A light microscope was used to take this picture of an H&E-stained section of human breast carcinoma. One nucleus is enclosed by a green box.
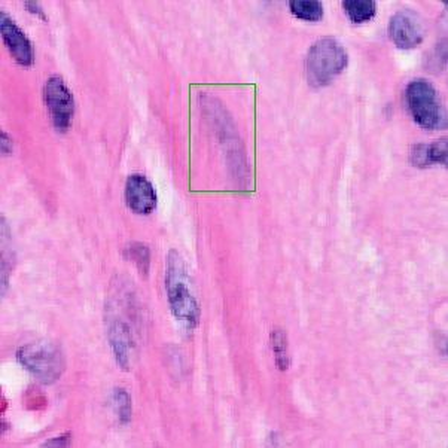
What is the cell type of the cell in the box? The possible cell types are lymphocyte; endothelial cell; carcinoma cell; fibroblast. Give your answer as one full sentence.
Cell type answer for this item: the cell in the box is a fibroblast.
